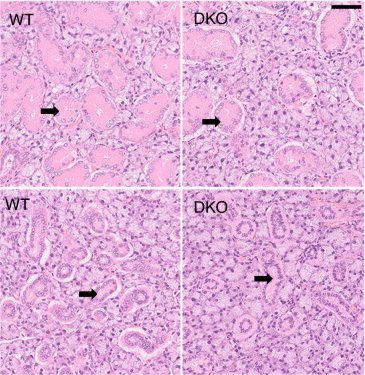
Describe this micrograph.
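Sections of submandibular gland in which duct profiles, lined by tall columnar cells with intensely pink, granular cytoplasm around a narrow lumen, lie scattered among acini. The acini are clusters of cells with paler, lightly stained cytoplasm and small dark basal nuclei, packed between the ducts.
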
